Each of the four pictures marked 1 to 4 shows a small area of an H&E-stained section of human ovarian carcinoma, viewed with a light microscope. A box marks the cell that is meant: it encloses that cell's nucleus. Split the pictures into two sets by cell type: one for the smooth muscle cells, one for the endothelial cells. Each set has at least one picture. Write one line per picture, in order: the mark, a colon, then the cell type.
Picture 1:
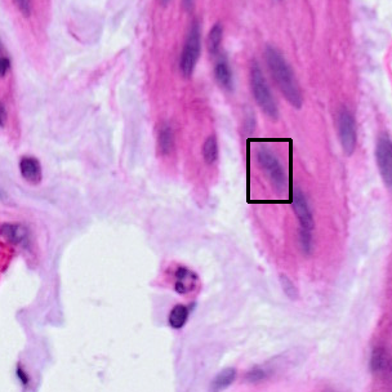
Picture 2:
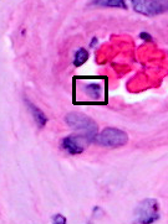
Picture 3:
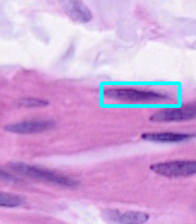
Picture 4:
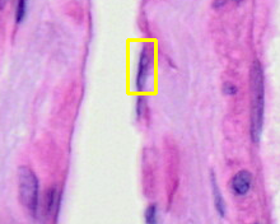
1: smooth muscle cell
2: endothelial cell
3: smooth muscle cell
4: endothelial cell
